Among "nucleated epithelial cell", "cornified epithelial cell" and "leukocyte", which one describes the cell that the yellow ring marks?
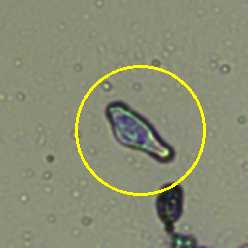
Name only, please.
nucleated epithelial cell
